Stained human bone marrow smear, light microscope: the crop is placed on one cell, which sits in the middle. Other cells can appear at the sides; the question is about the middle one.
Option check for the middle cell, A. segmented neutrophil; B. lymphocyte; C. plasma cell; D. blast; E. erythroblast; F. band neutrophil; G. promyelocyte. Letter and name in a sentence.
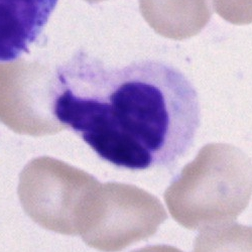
Option A is correct in naming the middle cell a segmented neutrophil.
